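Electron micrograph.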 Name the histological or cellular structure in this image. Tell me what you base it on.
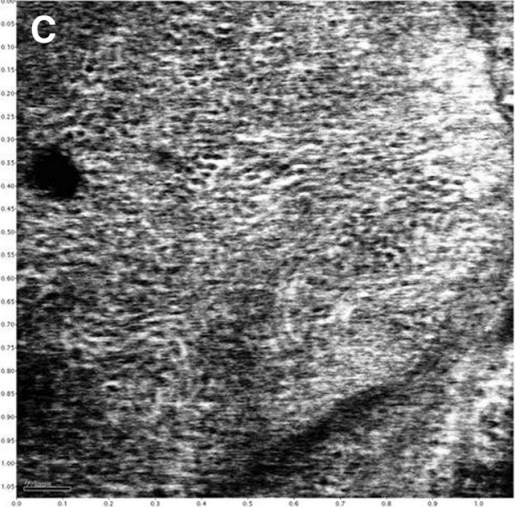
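Randomly arranged nonbranching fibrils. At high magnification the field is filled with thin, short fibrils.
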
